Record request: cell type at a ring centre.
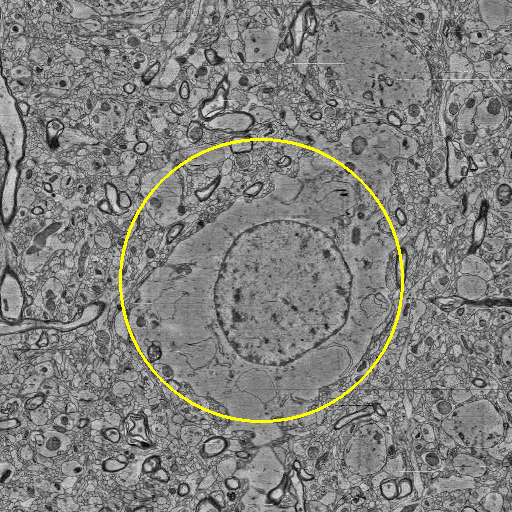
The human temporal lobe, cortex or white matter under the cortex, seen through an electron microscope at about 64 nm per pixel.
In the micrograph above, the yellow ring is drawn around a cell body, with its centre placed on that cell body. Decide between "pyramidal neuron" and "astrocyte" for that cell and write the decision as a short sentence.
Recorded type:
The cell centred in the yellow ring is an astrocyte.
